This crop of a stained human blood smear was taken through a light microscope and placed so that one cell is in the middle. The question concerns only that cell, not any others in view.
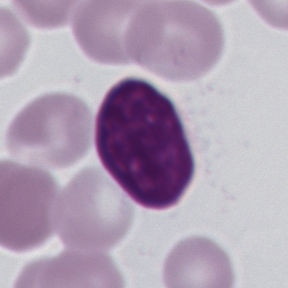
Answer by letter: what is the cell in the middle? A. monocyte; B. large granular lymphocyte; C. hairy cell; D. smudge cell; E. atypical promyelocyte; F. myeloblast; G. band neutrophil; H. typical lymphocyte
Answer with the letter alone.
D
